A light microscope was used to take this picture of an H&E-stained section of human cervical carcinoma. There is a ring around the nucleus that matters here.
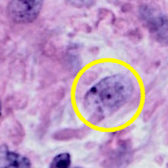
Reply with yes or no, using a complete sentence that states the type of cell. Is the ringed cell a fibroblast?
Yes, no change needed: the ringed cell is a fibroblast.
